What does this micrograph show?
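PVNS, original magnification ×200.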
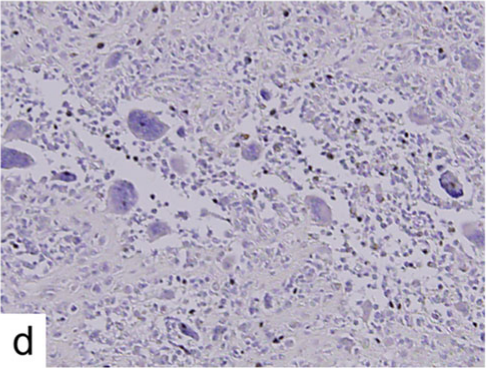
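This densely cellular tissue contains numerous multinucleated giant cells scattered among a background of small mononuclear cells. The giant cells are many times larger than their neighbours, with abundant pale purple cytoplasm and several nuclei clustered together. The surrounding cells are small and round to oval with dark nuclei, and some are loosely separated by cleft-like spaces. A few scattered small brown dots are present among the cells.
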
